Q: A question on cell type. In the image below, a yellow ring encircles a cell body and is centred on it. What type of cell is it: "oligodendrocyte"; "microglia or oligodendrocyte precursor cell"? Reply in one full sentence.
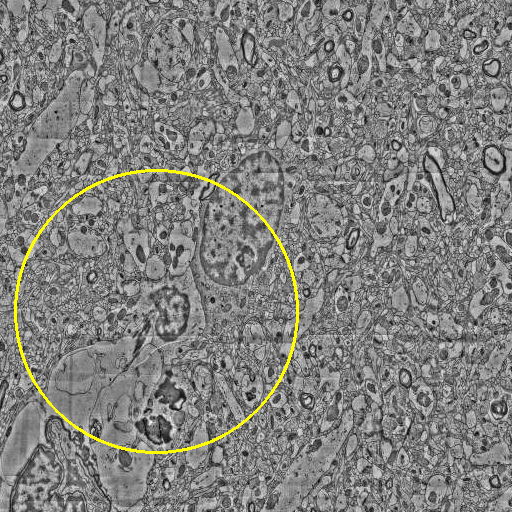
It is a microglial cell or oligodendrocyte precursor cell whose cell body sits at the centre of the yellow ring in the image.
